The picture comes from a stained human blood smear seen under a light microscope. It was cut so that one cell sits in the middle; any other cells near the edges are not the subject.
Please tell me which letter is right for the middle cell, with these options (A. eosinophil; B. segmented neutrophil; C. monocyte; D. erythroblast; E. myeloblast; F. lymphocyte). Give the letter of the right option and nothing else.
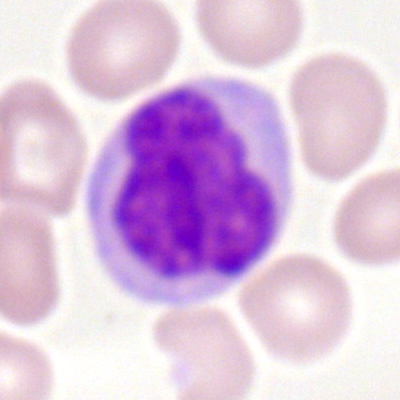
C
